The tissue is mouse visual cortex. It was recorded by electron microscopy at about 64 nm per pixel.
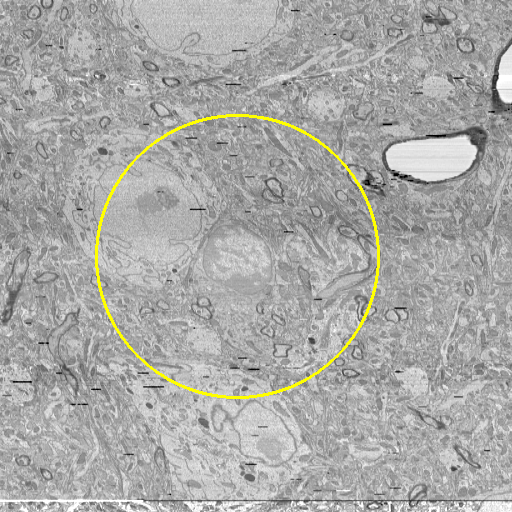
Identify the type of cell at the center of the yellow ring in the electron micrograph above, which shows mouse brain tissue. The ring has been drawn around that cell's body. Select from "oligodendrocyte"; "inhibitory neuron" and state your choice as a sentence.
The yellow ring is centered on the body of an oligodendrocyte.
